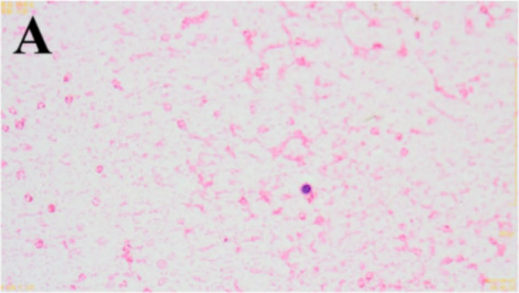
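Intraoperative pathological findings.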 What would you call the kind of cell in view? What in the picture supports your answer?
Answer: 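A single small round cell with a dark purple nucleus and scant cytoplasm. The cell lies isolated in a pale pink background. That points to this answer: lymphocytes.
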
